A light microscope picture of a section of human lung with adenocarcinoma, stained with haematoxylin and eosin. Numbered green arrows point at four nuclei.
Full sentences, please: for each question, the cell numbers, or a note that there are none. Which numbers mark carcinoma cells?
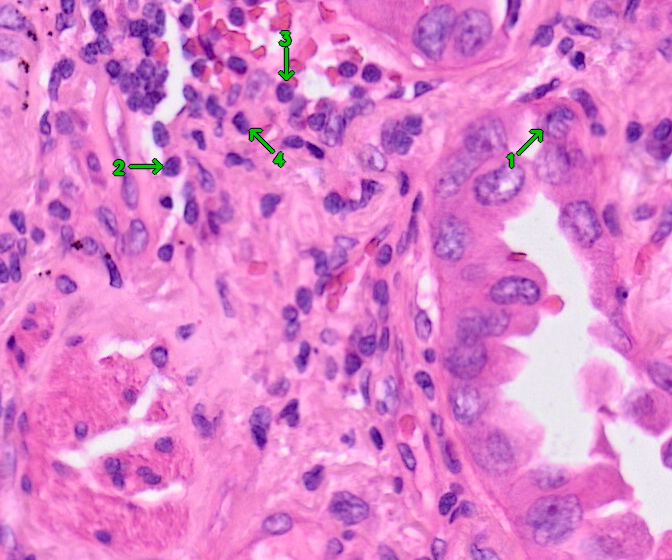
Cell 1 is a carcinoma cell, and it is the only one.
